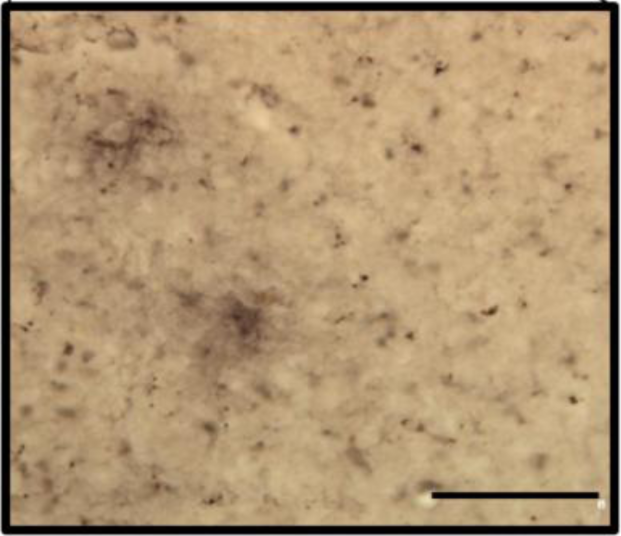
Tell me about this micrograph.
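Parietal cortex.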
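This is cortical grey matter with a pale beige background and many fine dark grey-purple dots and small specks scattered through it. Two rounded patches stand out where the dark stain is denser, each a fuzzy cloud without a sharp border or compact core, fading into the surrounding tissue.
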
